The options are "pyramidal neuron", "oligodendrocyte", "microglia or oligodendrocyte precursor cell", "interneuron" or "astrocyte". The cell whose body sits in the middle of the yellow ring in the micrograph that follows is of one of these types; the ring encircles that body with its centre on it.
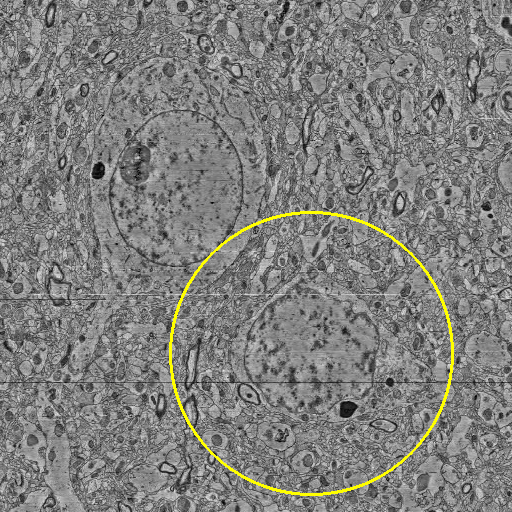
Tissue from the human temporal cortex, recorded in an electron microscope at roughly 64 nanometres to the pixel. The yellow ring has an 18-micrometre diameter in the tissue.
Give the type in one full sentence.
Going by the micrograph, the cell centred in the yellow ring is an interneuron.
